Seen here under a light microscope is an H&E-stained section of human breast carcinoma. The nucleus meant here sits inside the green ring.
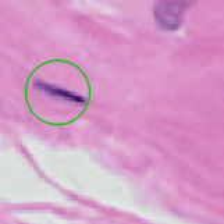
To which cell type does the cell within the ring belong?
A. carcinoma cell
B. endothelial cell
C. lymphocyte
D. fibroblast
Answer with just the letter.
D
